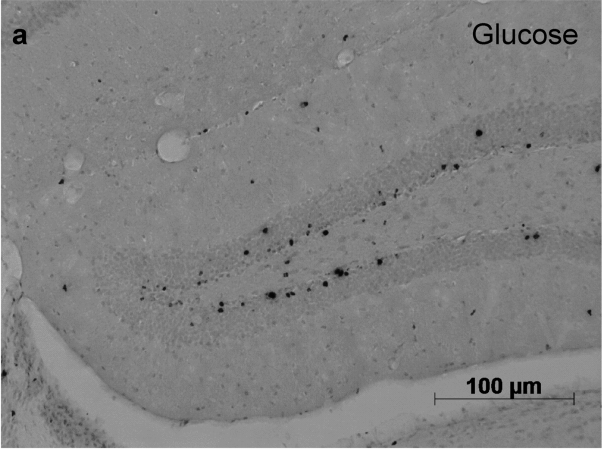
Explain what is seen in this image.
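This section shows the dentate gyrus of the hippocampus, with its granule cell layer forming a curved, slightly darker band of densely packed small cells. The band is arranged as two blades that meet at one end and enclose a paler central region. Small, round, darkly stained nuclei are scattered mainly along the inner edge of the granule cell layer, some lying singly and others in small clusters. Only a few dark dots lie in the paler, finely textured tissue outside the band. A few round empty spaces are cut through the surrounding tissue.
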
